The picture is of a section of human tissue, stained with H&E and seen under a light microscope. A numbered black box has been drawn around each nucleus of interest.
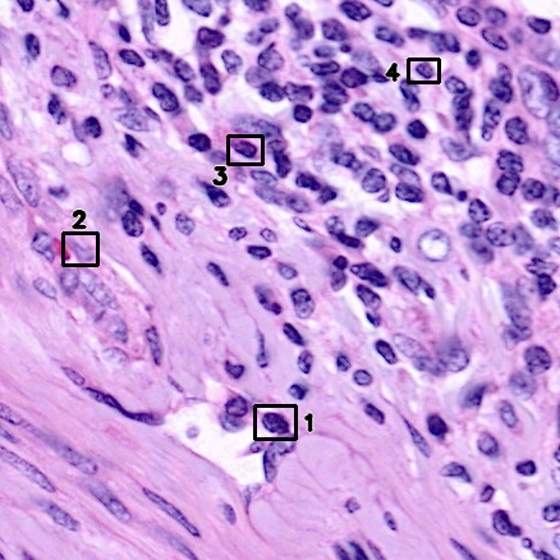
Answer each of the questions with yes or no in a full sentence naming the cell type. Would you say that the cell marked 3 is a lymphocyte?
Yes, kindly take note: the cell numbered 3 is a lymphocyte.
